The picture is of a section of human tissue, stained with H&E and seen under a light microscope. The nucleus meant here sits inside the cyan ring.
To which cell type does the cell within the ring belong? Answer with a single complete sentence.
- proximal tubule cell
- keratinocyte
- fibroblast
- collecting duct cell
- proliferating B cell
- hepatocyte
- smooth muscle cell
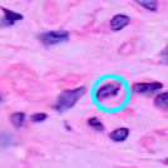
It is as a smooth muscle cell that the cell within the ring is recorded.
